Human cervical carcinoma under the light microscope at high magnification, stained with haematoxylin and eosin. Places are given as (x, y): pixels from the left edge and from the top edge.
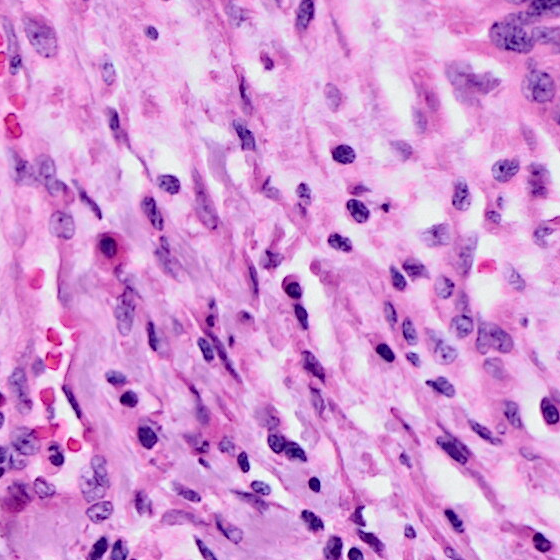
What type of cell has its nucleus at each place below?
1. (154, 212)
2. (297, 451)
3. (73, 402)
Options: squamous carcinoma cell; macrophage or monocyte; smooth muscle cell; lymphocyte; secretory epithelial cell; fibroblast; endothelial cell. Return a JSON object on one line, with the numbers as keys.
{"1": "macrophage or monocyte", "2": "lymphocyte", "3": "endothelial cell"}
